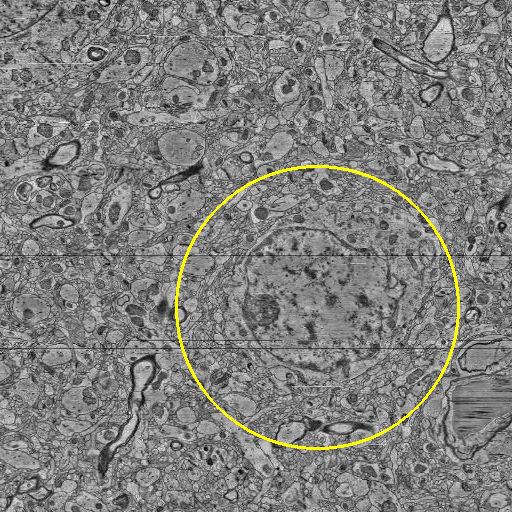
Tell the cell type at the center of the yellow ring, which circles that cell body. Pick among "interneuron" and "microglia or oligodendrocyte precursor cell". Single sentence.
The ring is centered on the body of an interneuron.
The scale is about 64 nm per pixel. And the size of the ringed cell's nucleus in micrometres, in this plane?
The nucleus of the ringed cell is approximately 10 micrometres across in this plane.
